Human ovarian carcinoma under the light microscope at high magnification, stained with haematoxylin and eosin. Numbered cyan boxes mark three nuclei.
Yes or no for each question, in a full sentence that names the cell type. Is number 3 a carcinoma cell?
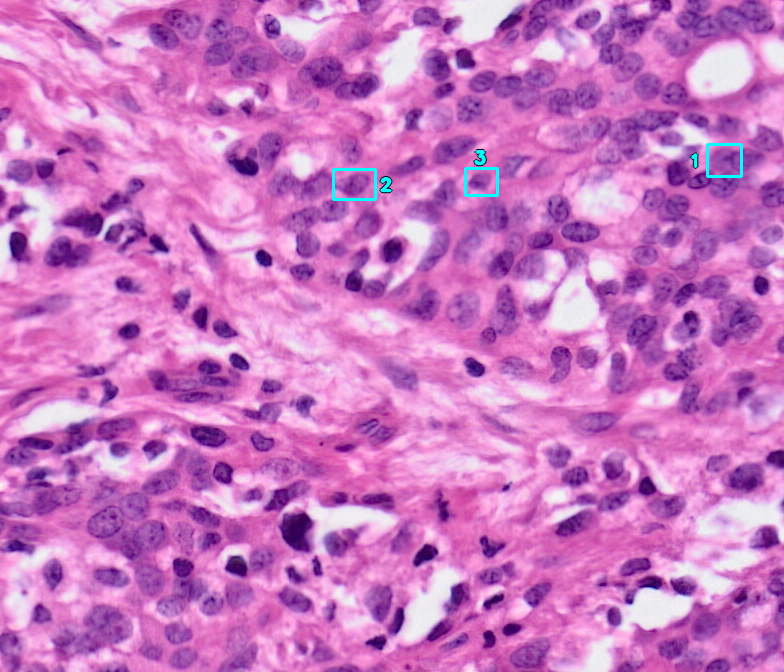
No, number 3 identifies a macrophage or monocyte, not a carcinoma cell.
